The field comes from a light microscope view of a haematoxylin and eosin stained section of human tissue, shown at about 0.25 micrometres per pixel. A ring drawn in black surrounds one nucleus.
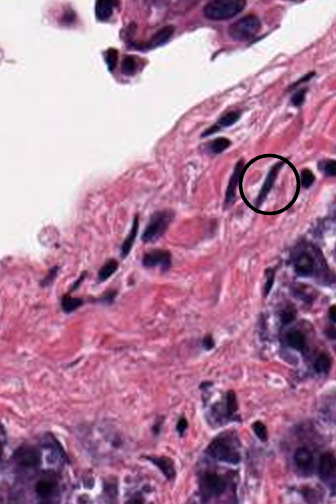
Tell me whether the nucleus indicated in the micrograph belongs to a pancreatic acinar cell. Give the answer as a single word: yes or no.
no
